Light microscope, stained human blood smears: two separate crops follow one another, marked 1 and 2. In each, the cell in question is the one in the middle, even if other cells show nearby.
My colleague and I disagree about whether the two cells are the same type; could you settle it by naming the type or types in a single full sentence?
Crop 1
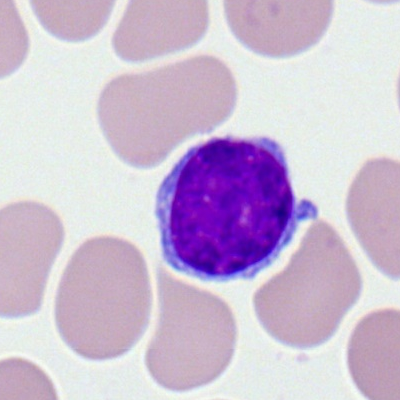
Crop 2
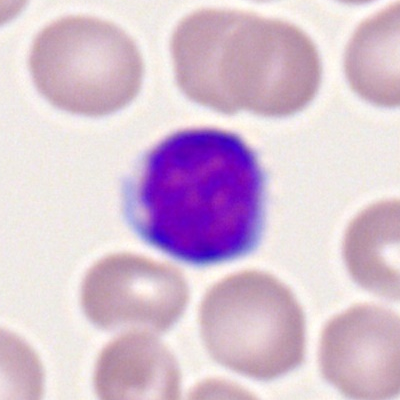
Yes, both of the crops in this pair show lymphocytes, one cell in each crop.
